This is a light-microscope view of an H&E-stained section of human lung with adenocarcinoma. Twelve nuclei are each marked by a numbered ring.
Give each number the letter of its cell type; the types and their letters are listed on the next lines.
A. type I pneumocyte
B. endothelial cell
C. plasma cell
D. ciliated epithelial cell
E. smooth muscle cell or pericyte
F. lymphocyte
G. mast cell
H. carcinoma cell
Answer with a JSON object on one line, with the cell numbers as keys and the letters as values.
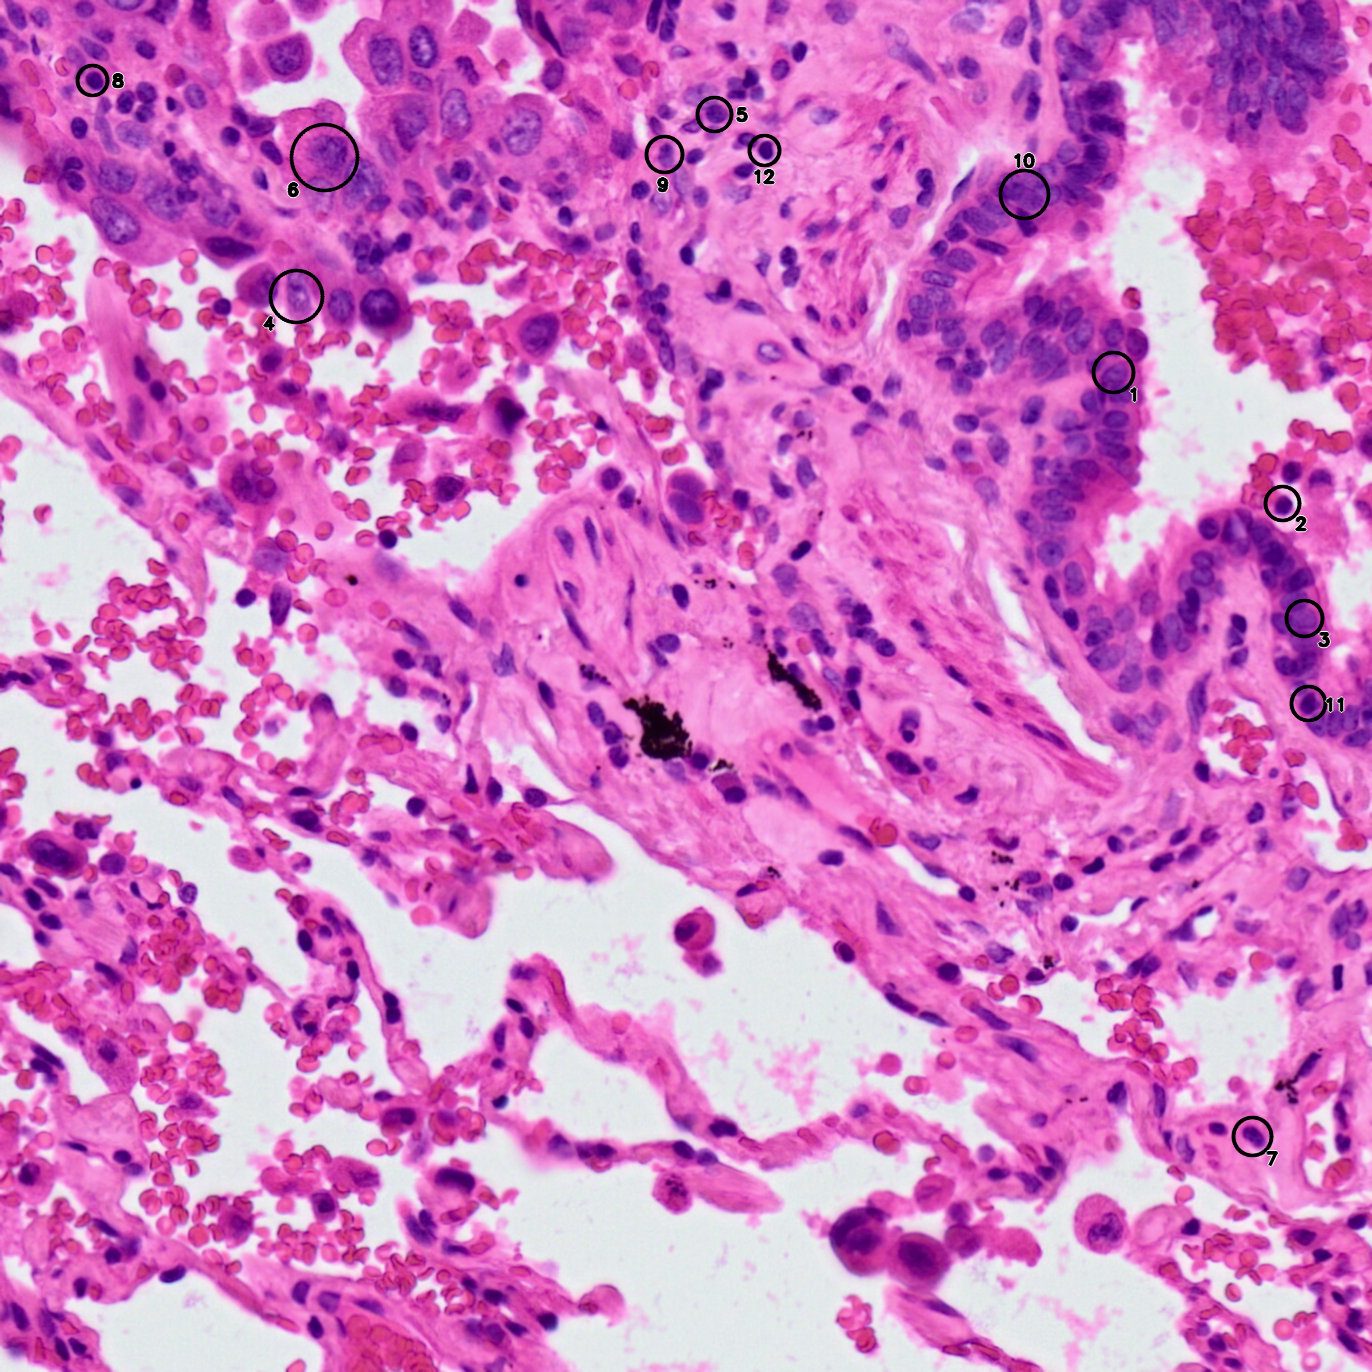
{"1": "D", "2": "F", "3": "D", "4": "H", "5": "F", "6": "H", "7": "G", "8": "F", "9": "F", "10": "D", "11": "D", "12": "F"}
